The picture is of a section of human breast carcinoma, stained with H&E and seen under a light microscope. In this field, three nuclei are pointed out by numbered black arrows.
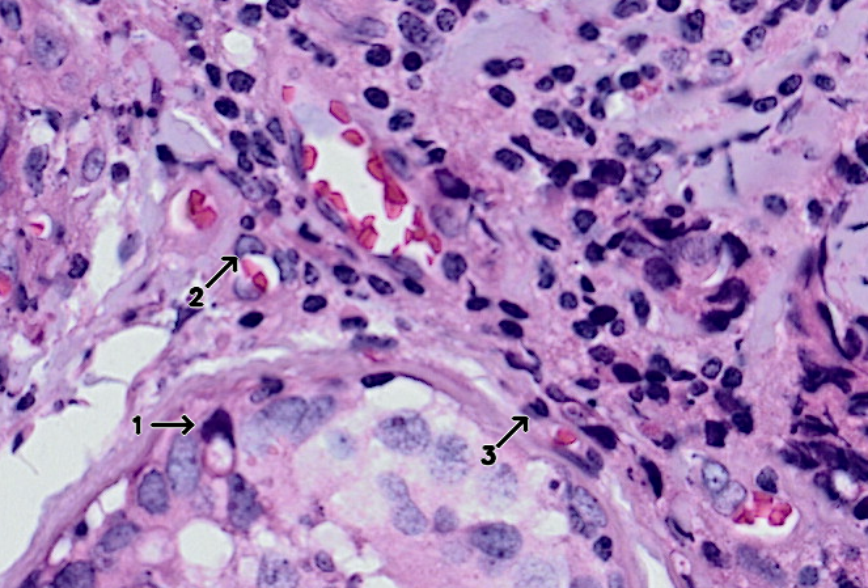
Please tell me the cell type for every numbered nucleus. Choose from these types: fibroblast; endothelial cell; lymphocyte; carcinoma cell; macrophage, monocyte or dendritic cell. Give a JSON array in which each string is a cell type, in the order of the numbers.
["carcinoma cell", "endothelial cell", "lymphocyte"]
